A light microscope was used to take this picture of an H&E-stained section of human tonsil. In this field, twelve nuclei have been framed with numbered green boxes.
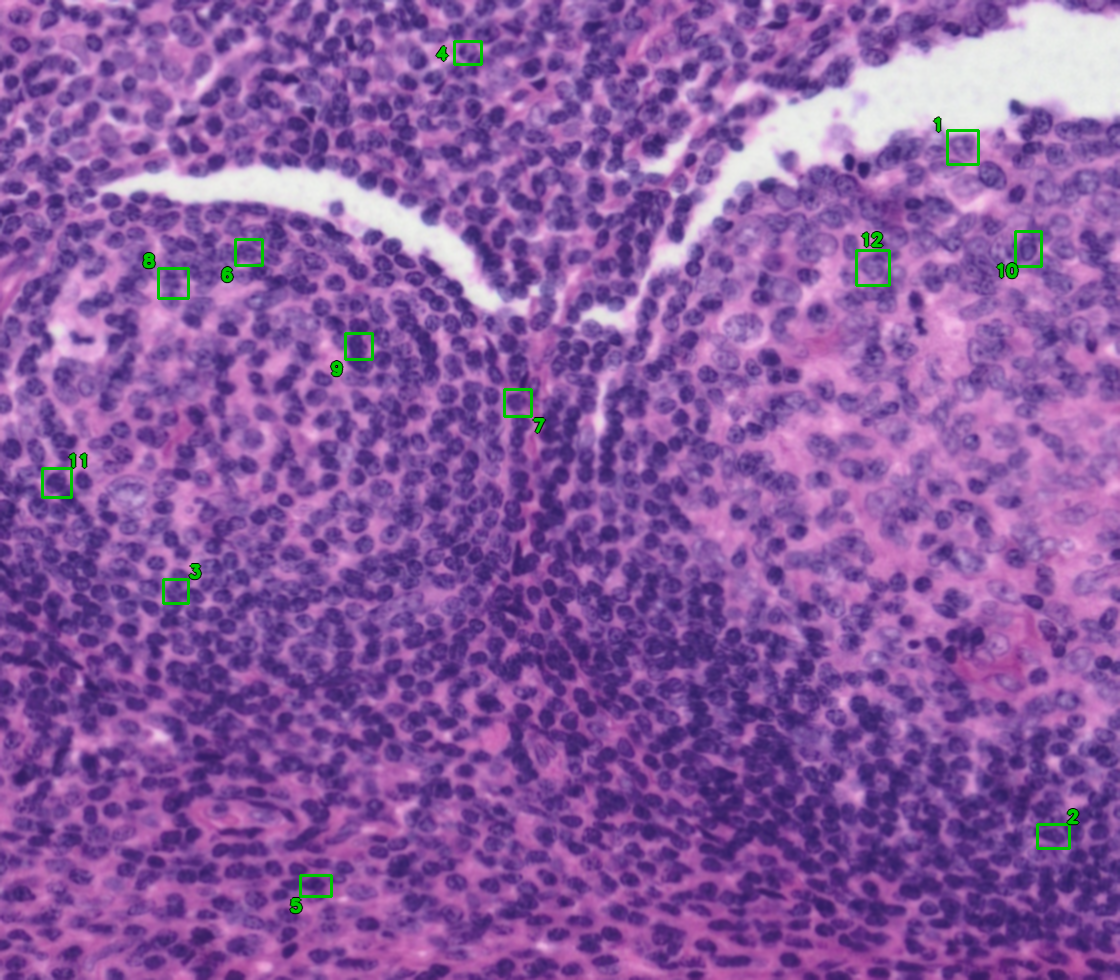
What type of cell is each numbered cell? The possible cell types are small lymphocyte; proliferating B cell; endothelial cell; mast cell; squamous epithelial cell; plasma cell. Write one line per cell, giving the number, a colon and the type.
1: proliferating B cell
2: small lymphocyte
3: small lymphocyte
4: small lymphocyte
5: plasma cell
6: small lymphocyte
7: small lymphocyte
8: proliferating B cell
9: small lymphocyte
10: proliferating B cell
11: small lymphocyte
12: proliferating B cell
